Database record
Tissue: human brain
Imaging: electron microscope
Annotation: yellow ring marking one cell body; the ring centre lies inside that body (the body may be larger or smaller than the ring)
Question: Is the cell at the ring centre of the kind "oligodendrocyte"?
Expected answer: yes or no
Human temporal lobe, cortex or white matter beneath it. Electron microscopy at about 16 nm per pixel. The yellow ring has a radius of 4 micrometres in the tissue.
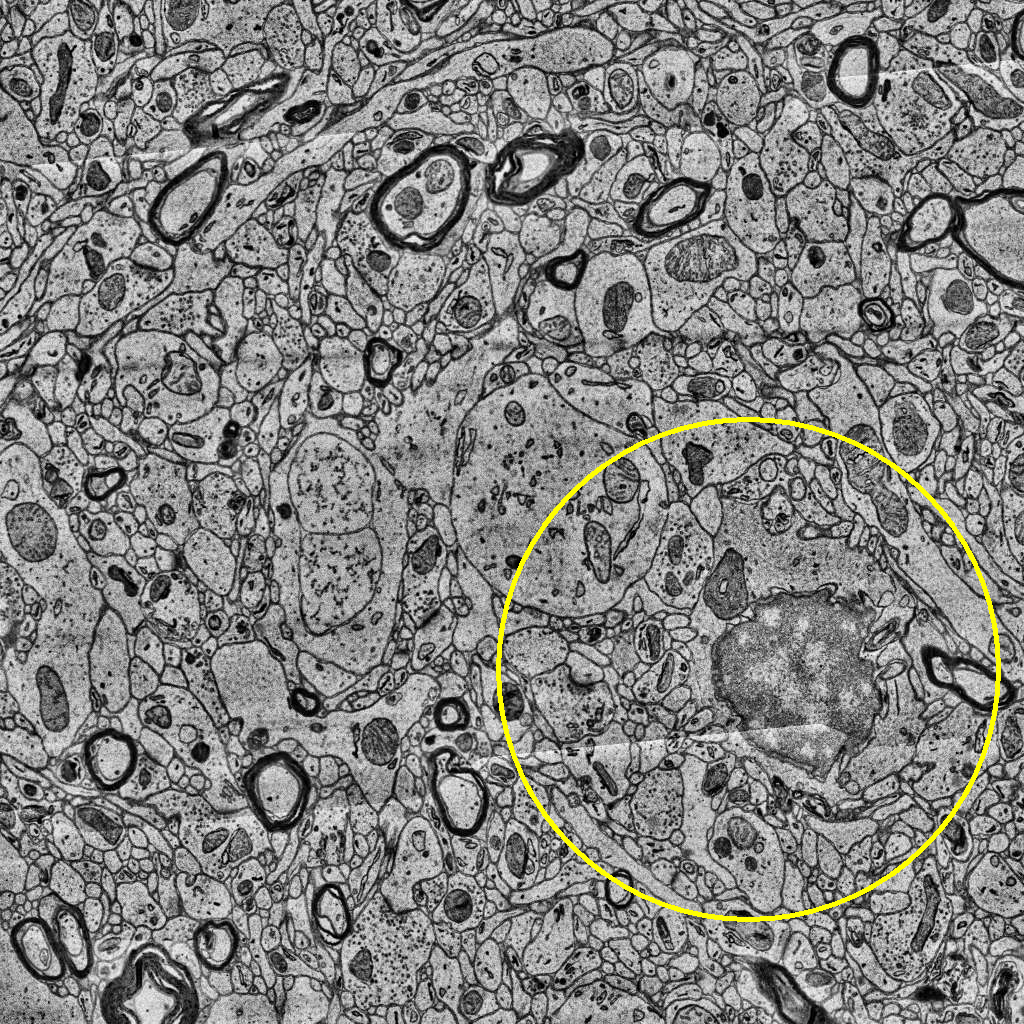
yes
